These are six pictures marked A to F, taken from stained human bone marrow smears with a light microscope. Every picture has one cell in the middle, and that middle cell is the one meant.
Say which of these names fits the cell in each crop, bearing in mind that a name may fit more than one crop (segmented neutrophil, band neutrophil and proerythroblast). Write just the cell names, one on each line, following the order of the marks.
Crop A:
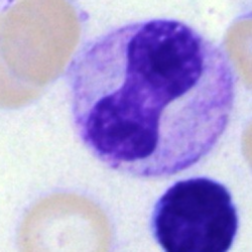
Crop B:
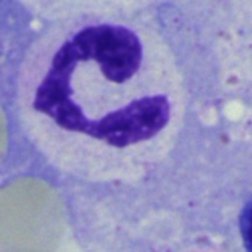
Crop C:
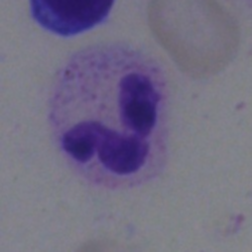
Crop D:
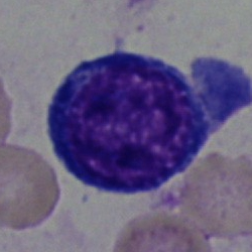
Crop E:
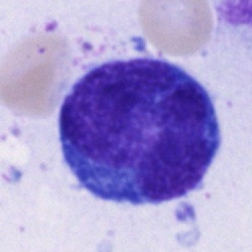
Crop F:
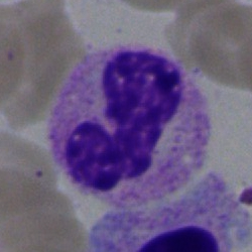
band neutrophil
segmented neutrophil
segmented neutrophil
proerythroblast
proerythroblast
band neutrophil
